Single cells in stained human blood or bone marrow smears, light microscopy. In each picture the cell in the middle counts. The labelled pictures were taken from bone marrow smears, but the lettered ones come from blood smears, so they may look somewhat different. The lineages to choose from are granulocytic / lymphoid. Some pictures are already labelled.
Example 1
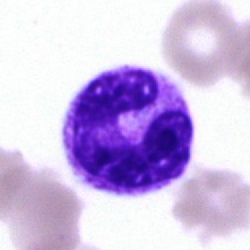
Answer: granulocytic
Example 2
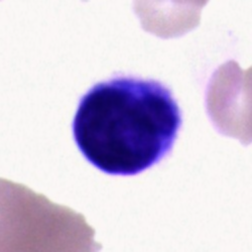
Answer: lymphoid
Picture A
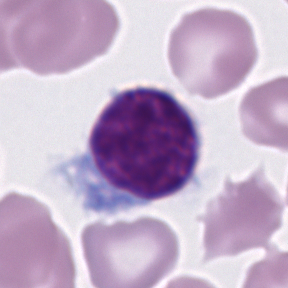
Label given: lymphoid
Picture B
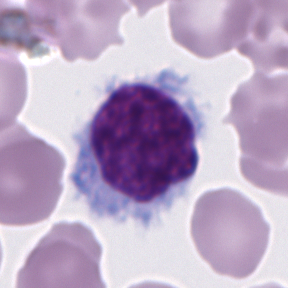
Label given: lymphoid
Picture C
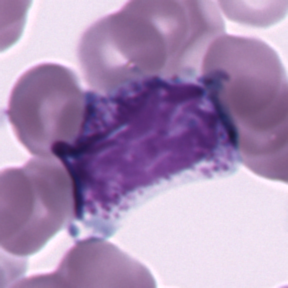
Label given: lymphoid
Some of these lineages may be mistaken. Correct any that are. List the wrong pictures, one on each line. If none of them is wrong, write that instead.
C should be granulocytic, not lymphoid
